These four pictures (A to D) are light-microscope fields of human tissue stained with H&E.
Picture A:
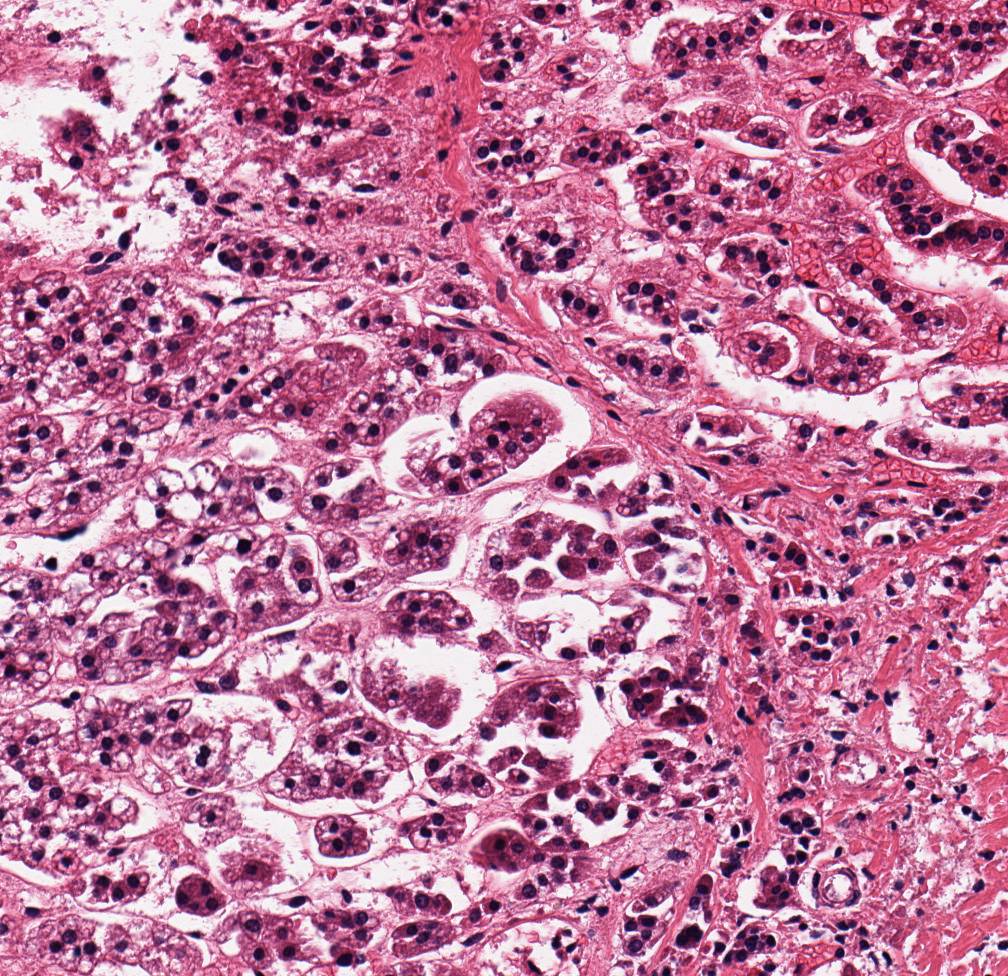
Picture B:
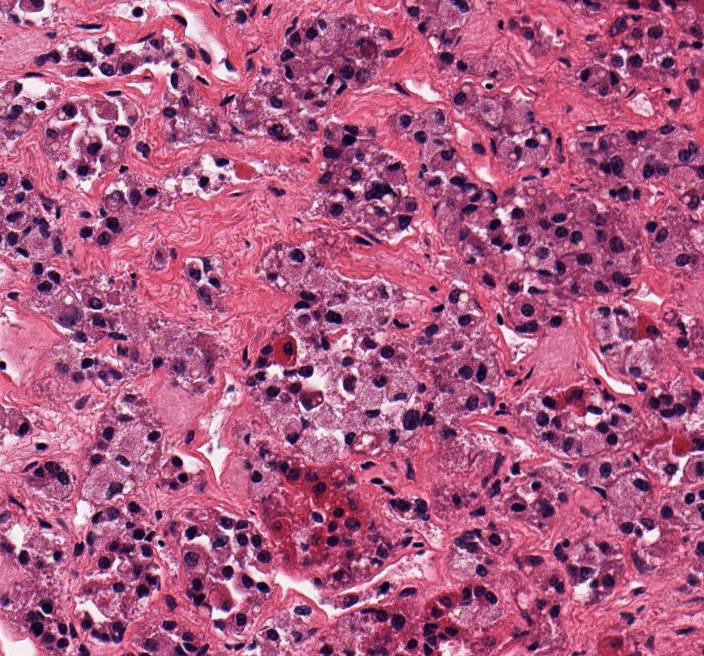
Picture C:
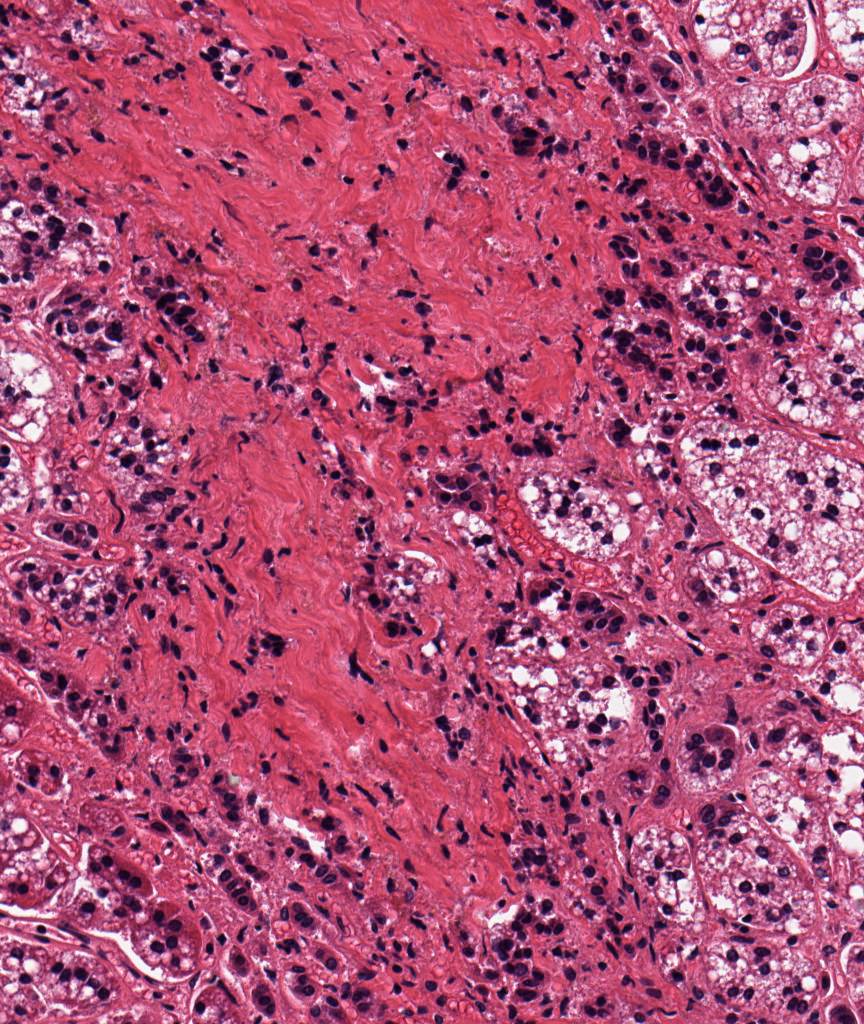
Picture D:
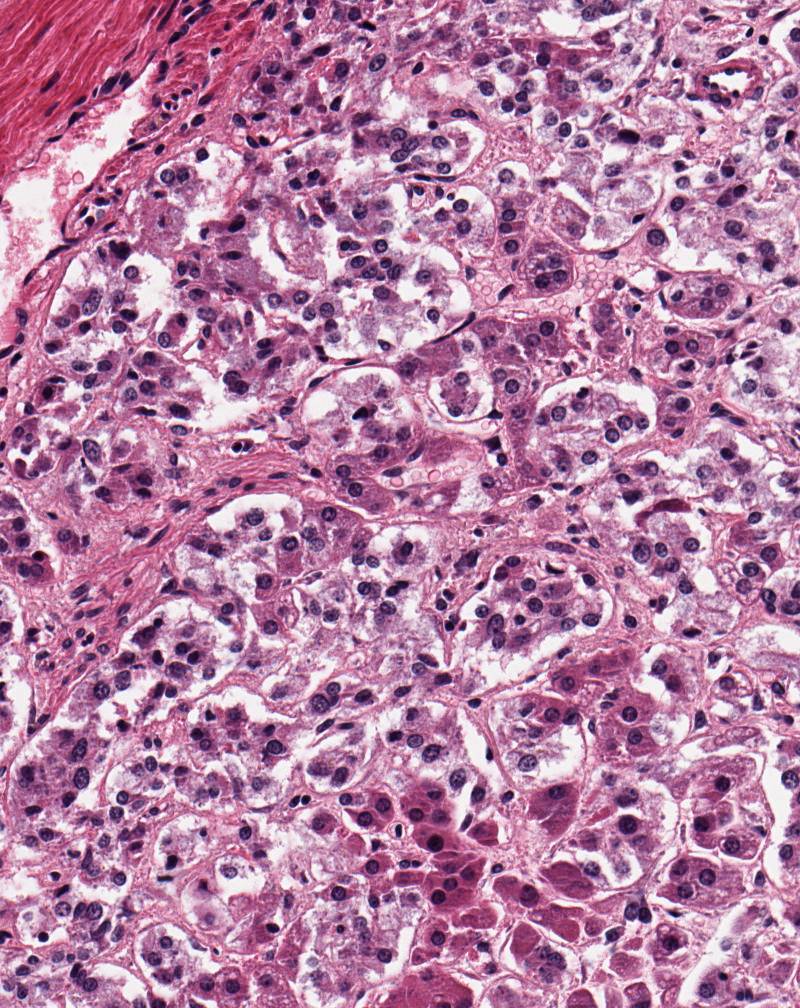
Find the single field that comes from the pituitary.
B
